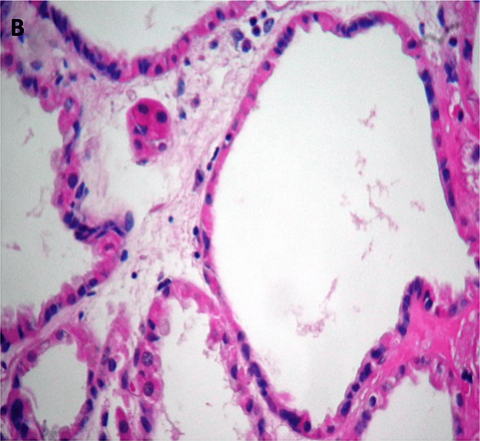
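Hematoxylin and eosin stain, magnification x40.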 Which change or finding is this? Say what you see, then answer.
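Cystic dilation of glands. Large, rounded, empty-looking gland spaces. The spaces are lined by a single thin layer of cells. Loose, pale stroma lies between the spaces.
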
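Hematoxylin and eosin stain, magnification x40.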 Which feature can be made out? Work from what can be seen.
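Cuboidal lining. A single layer of low cells lines the dilated spaces. The lining cells have pink cytoplasm and dark nuclei.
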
